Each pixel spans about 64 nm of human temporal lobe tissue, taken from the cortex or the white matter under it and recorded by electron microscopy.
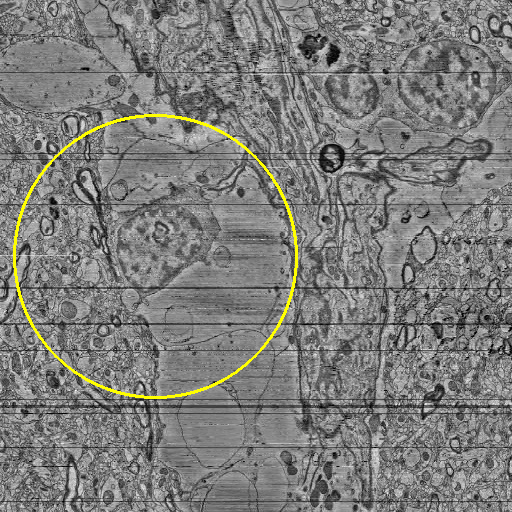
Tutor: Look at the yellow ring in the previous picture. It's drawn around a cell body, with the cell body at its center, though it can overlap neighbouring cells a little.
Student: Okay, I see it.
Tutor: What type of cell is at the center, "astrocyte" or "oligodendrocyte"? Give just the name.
oligodendrocyte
